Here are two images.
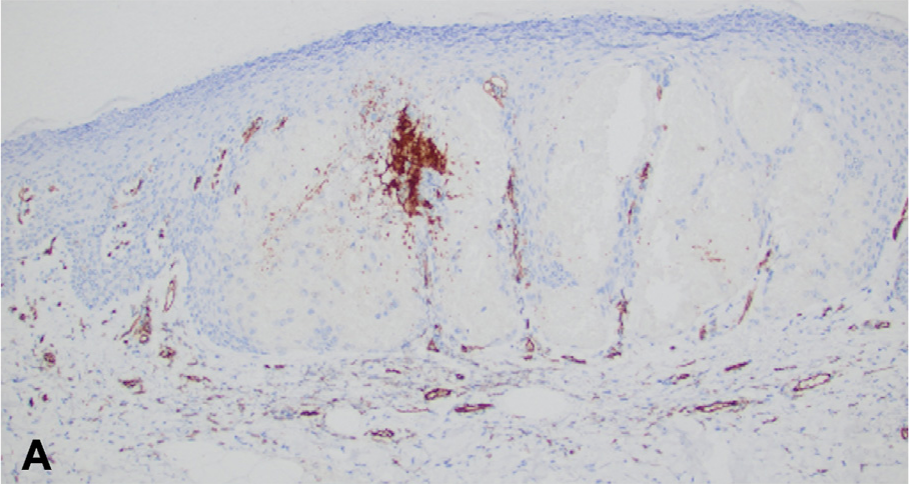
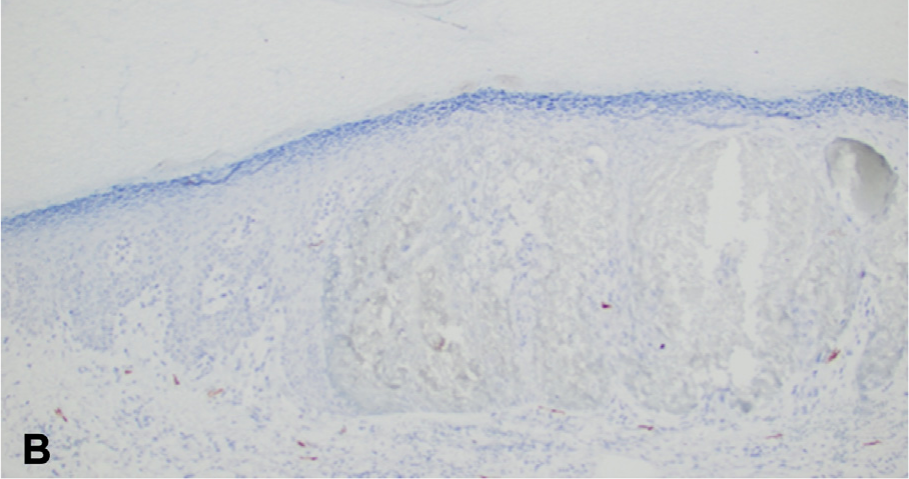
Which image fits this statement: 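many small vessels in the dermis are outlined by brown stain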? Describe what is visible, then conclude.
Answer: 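Second image: only a few scattered tiny brown specks in the dermis; the tissue is otherwise blue. First image: numerous brown-rimmed small vessel lumens throughout the dermis and between the rounded compartments. The answer: the first image.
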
